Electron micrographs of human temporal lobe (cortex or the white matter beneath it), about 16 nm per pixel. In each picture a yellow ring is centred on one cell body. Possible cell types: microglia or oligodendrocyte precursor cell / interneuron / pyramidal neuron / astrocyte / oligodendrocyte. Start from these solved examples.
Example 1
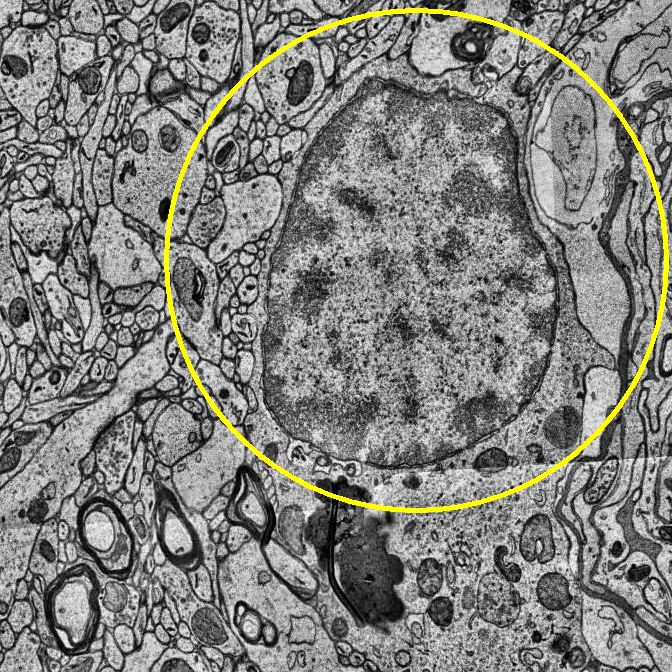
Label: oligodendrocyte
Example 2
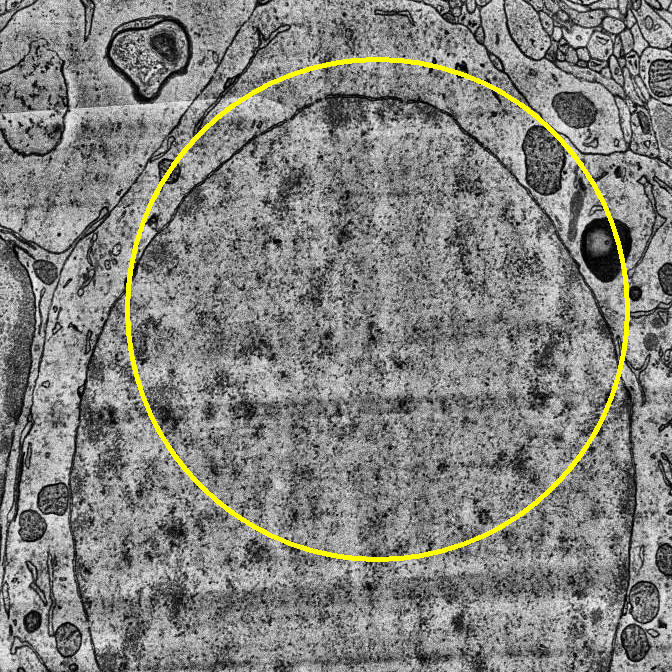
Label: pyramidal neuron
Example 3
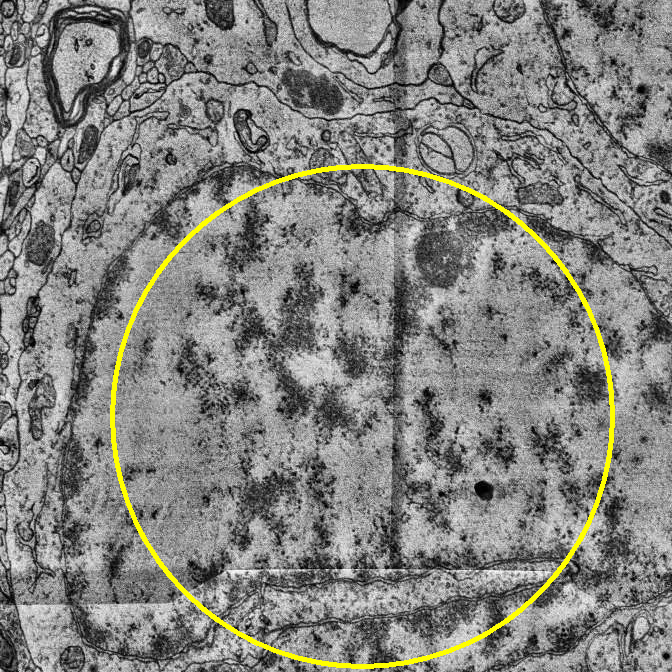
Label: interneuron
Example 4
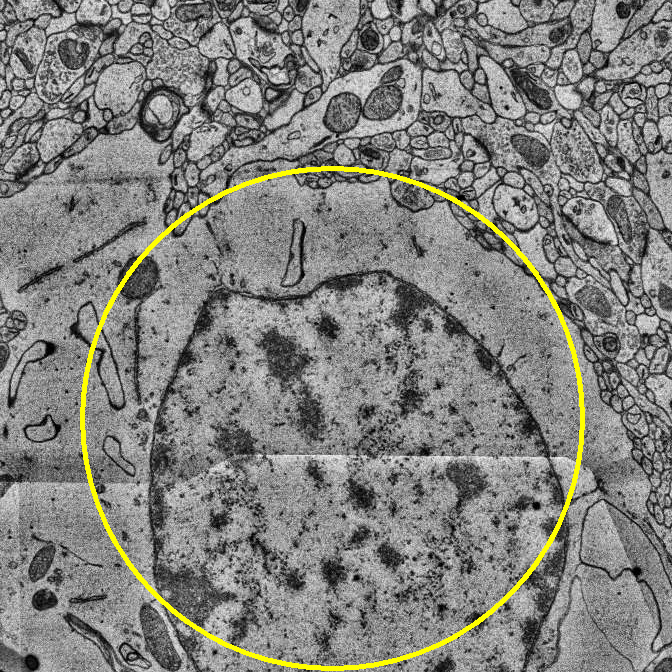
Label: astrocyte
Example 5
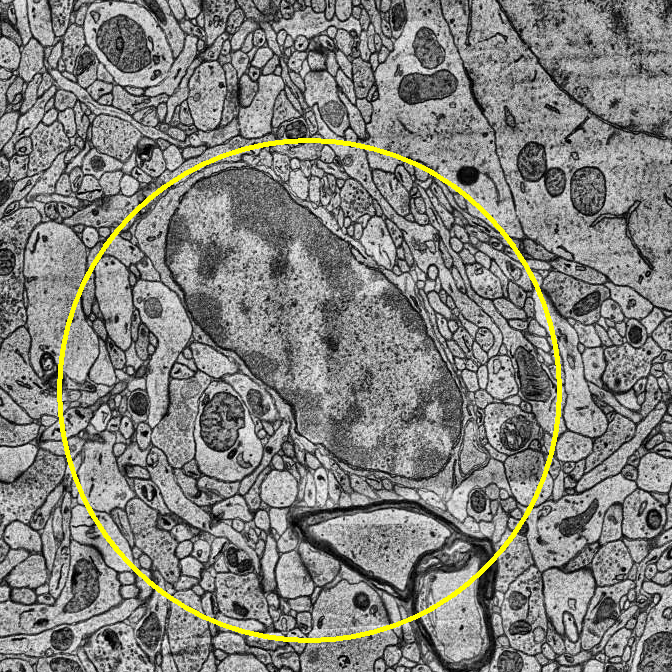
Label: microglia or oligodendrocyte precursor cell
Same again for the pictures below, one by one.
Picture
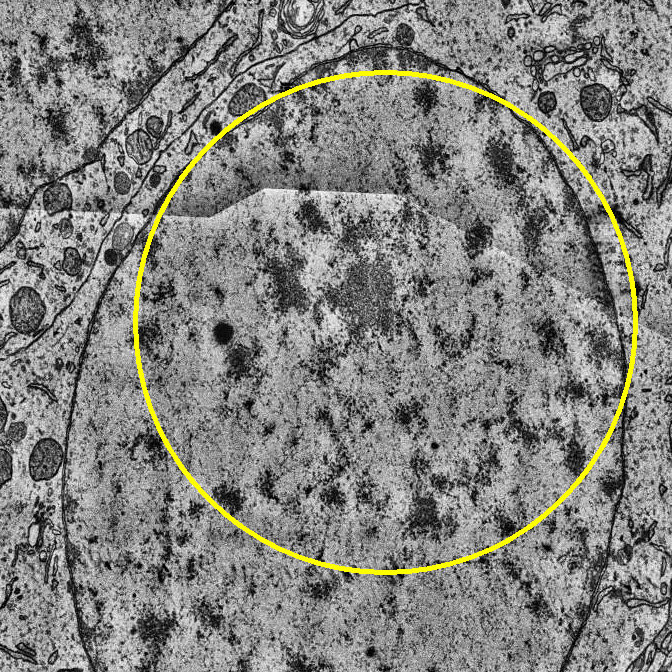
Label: pyramidal neuron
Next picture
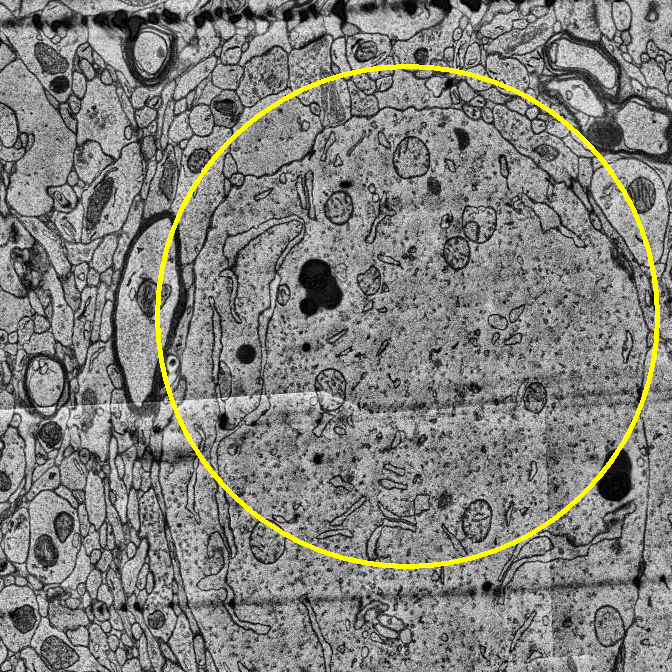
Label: pyramidal neuron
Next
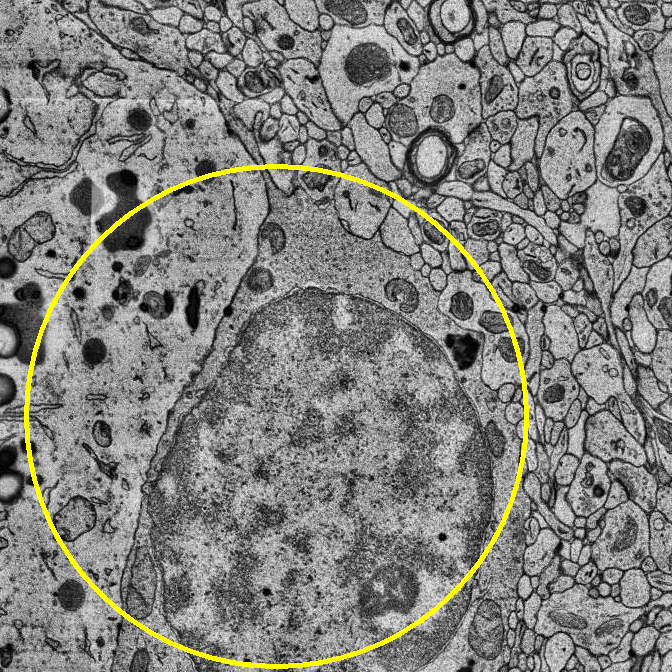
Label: oligodendrocyte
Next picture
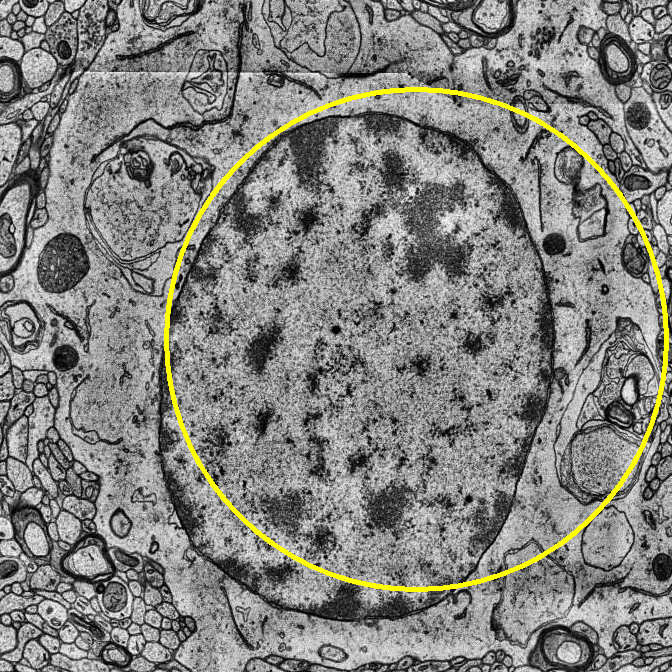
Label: astrocyte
